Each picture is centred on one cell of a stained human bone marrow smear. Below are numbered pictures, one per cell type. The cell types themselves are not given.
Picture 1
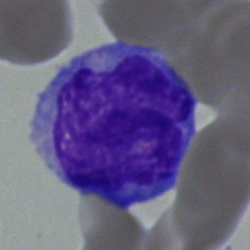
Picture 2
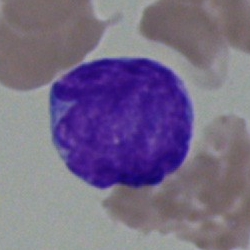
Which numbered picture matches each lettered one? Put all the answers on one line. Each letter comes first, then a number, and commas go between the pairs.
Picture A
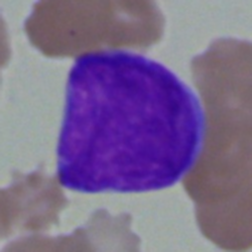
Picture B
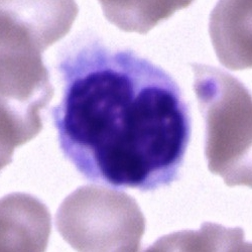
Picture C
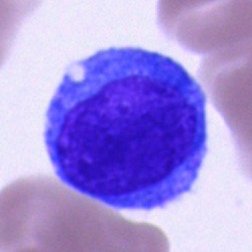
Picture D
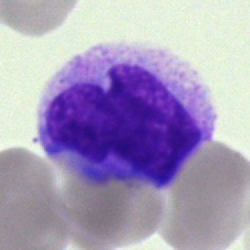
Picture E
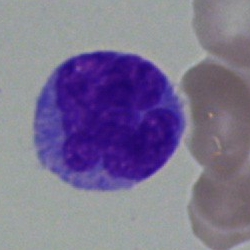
A 2, B 1, C 2, D 1, E 1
